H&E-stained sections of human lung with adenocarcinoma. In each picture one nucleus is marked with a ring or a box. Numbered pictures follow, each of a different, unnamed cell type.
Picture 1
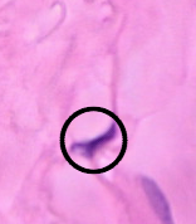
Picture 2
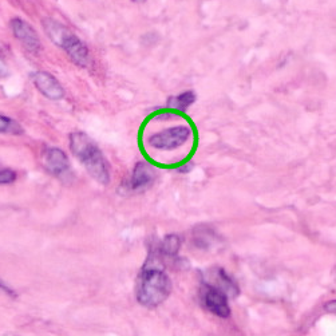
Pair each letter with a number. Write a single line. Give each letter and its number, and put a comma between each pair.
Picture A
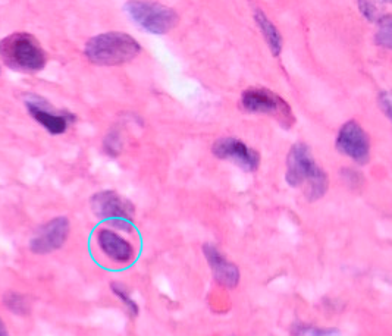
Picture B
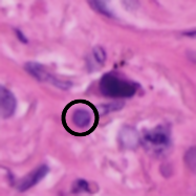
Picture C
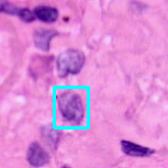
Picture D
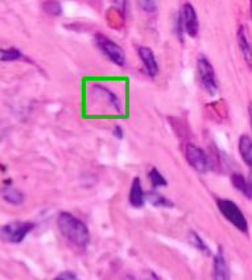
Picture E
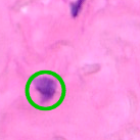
A 2, B 2, C 1, D 1, E 1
